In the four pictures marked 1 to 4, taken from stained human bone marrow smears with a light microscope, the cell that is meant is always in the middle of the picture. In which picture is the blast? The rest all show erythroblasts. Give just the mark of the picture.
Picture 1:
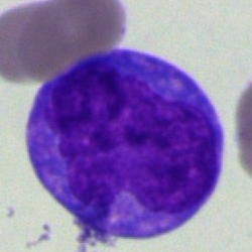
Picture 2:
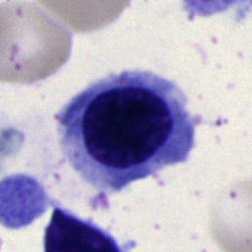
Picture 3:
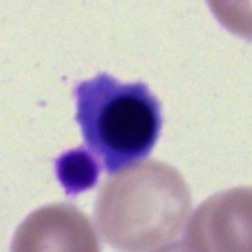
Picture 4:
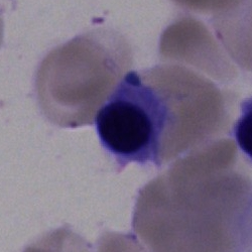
1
